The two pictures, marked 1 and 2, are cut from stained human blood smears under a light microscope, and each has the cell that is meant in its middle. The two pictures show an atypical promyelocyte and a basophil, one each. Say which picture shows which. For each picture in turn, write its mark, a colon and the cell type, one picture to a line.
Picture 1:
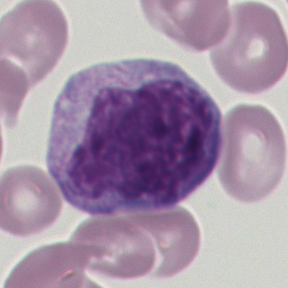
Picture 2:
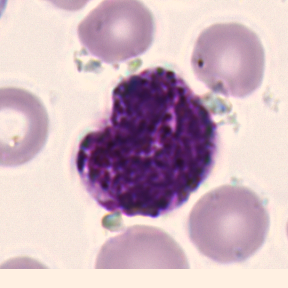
1: atypical promyelocyte
2: basophil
